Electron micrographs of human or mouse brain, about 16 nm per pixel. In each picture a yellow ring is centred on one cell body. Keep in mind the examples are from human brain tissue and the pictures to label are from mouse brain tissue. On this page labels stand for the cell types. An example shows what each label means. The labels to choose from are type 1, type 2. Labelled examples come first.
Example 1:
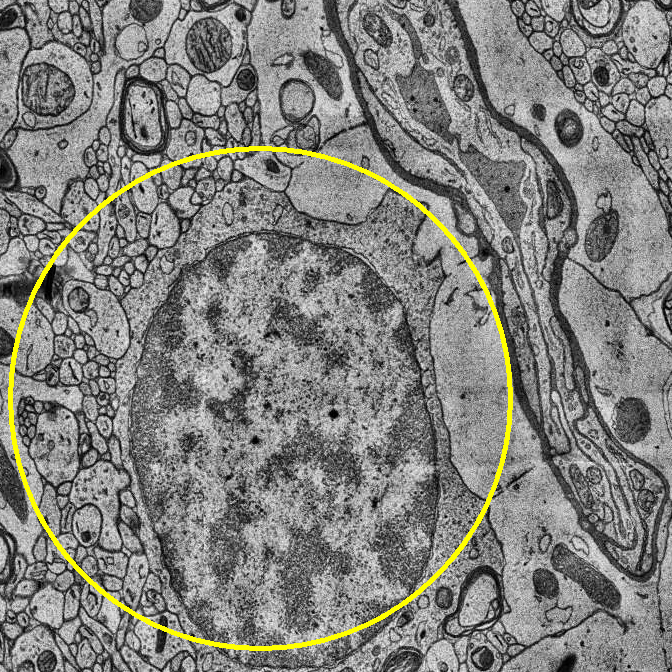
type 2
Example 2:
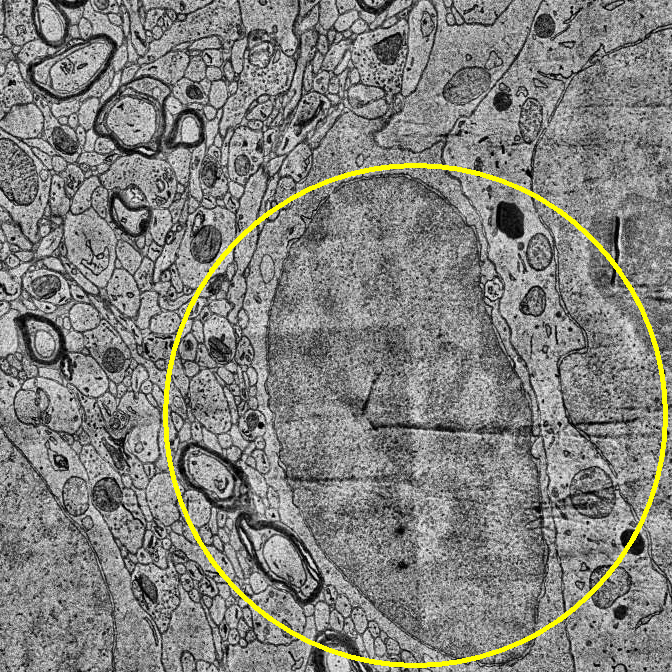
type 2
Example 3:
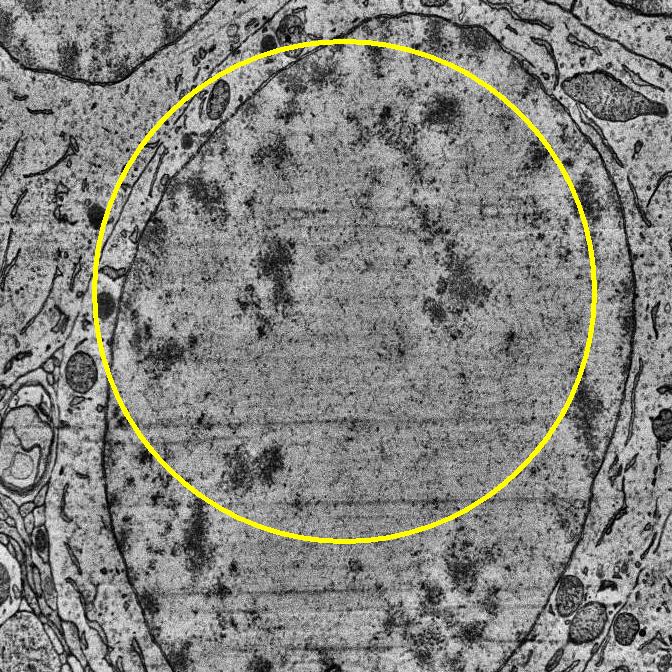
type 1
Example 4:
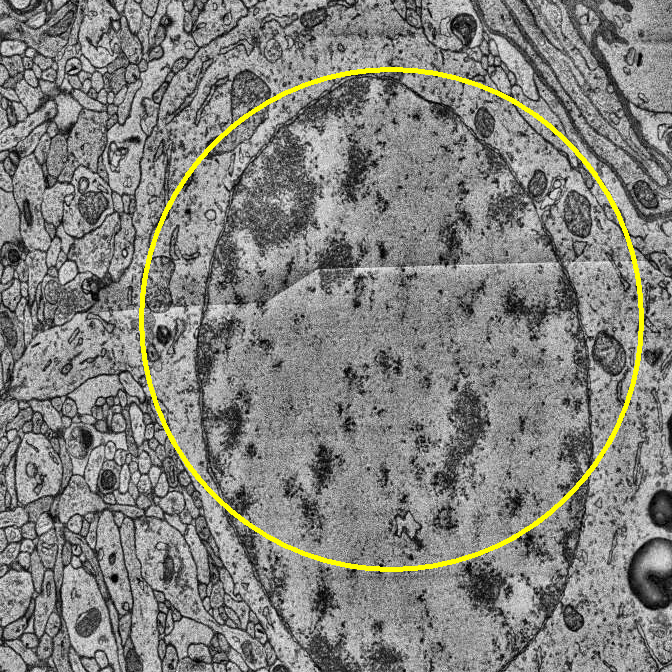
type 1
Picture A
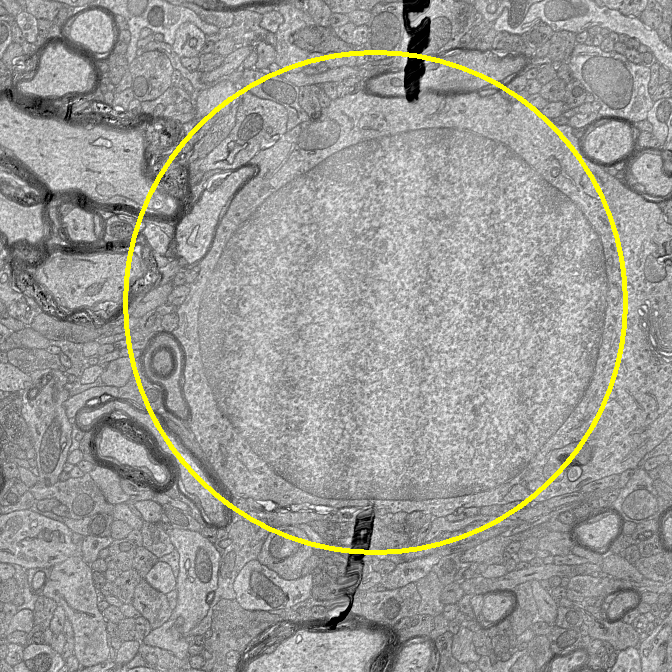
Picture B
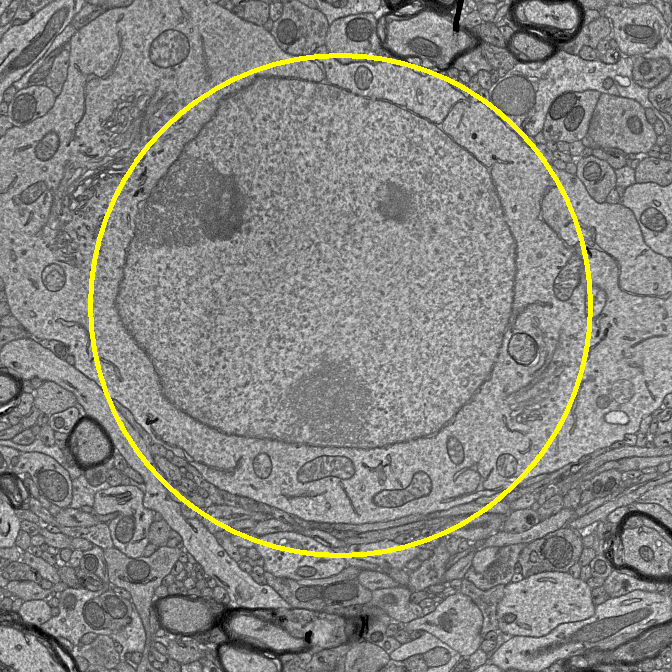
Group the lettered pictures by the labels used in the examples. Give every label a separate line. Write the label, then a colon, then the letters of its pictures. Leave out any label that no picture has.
type 1: B
type 2: A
